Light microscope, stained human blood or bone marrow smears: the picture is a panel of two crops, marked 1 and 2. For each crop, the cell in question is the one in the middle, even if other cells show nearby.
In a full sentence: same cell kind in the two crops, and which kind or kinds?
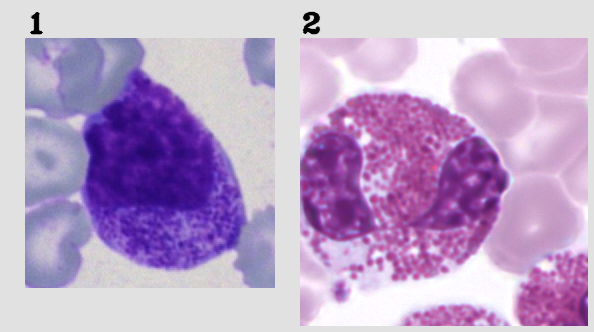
No, the cell in crop 1 is a myelocyte, and the cell in crop 2 is an eosinophil.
